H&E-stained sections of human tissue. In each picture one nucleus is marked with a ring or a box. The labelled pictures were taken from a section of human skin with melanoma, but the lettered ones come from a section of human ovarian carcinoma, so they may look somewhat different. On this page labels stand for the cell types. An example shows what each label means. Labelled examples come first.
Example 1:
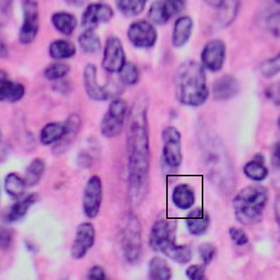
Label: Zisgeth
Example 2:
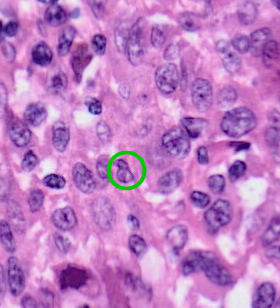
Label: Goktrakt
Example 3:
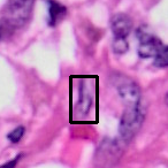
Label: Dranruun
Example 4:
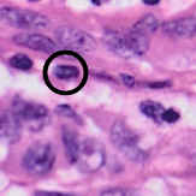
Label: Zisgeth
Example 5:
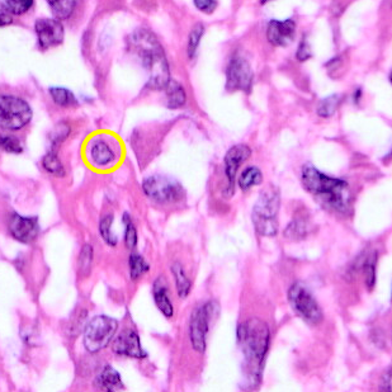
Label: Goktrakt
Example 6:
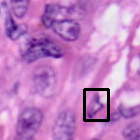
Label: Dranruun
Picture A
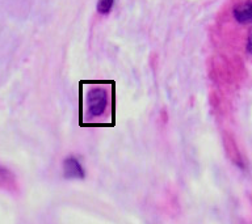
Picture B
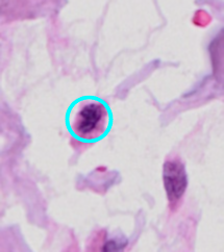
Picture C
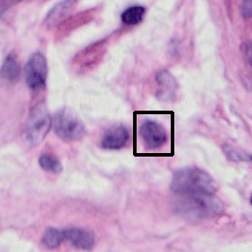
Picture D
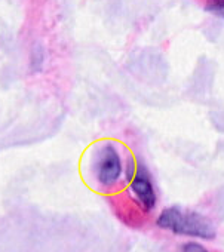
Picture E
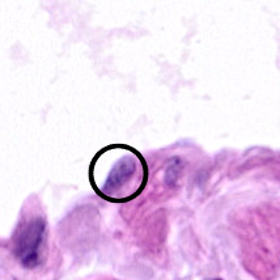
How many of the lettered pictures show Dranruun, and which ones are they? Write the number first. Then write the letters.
Count: 2 (D, E)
